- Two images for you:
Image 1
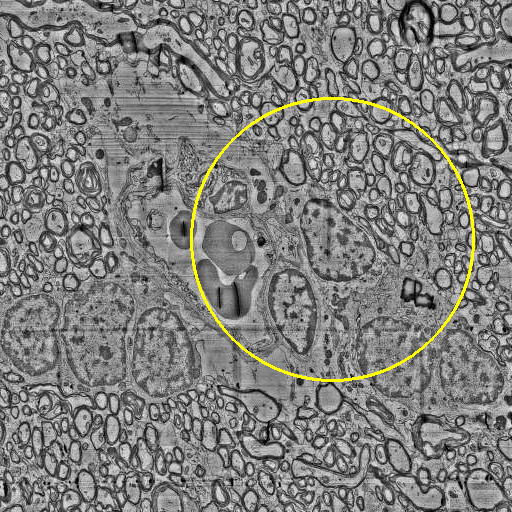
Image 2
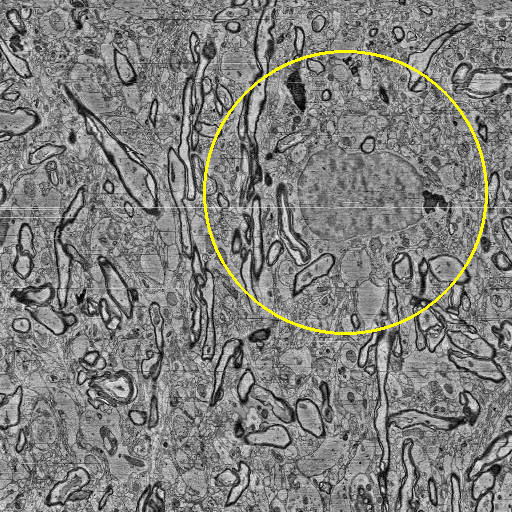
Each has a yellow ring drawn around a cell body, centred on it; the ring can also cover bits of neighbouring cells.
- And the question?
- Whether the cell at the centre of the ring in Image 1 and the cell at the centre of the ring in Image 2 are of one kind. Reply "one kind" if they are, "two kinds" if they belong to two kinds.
two kinds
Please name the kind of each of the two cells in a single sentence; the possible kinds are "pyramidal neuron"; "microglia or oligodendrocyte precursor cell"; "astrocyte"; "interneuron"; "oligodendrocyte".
In the first picture the ring is centred on a microglial cell or oligodendrocyte precursor cell, and in the second on an oligodendrocyte.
